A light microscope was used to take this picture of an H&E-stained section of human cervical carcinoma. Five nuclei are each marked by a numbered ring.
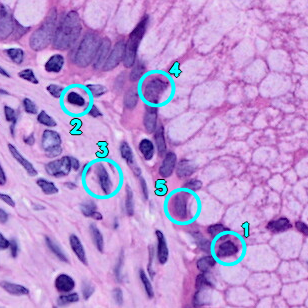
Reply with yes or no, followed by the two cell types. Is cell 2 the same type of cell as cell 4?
No, cell 4 is a secretory epithelial cell, and cell 2 is a lymphocyte.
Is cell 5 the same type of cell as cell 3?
No, that's wrong; cell 5 is a secretory epithelial cell and cell 3 is a fibroblast.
